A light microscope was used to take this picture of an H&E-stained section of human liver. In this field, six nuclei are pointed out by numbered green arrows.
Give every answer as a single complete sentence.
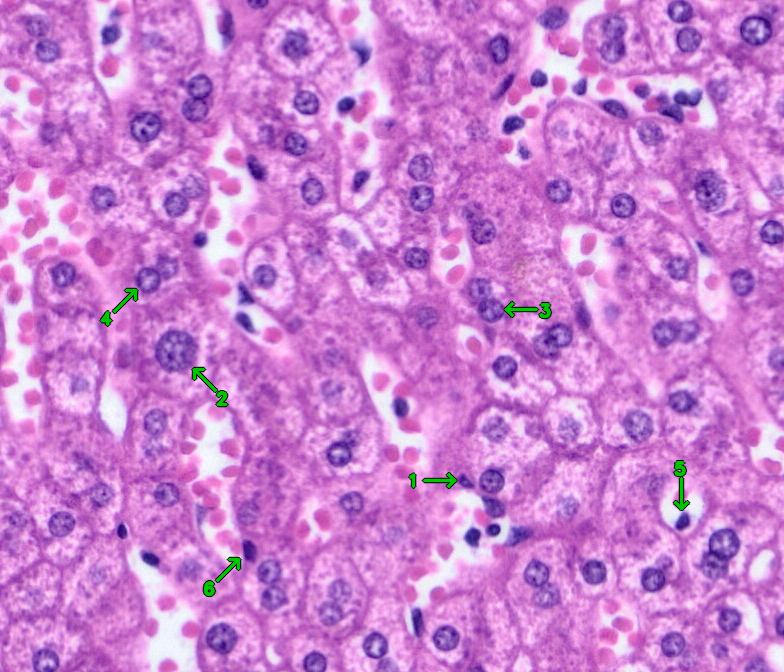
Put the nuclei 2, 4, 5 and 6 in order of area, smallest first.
Smallest first, the nuclei run 5, 6, 4, 2.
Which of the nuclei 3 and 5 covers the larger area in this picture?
Nucleus 3 is larger, with an area about 2.5 times that of nucleus 5.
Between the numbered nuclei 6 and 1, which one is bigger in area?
At about 2 times the area of nucleus 1, nucleus 6 is the larger of the two.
